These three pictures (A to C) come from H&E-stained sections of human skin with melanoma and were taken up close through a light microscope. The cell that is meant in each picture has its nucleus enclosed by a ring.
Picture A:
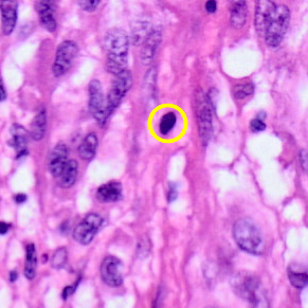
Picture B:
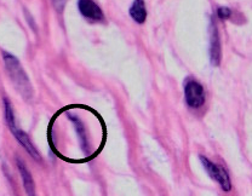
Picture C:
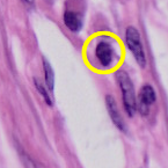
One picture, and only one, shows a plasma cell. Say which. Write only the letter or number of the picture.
C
